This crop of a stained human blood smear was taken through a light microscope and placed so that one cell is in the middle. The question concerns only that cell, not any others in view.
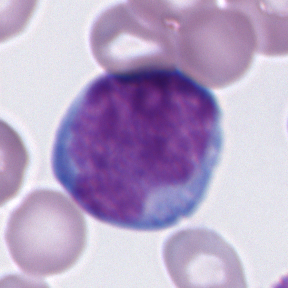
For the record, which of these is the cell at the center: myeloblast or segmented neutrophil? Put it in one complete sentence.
At the middle of the frame sits a myeloblast.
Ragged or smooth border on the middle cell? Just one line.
Its outline is smooth, with no projections anywhere along the edge.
